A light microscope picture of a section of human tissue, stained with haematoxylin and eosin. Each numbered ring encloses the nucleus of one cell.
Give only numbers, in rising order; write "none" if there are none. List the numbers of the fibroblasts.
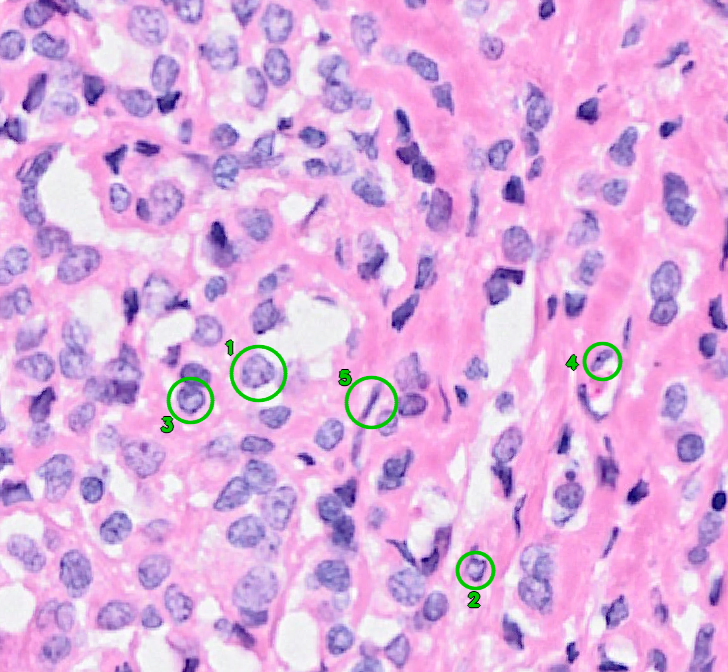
5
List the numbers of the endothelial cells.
2, 4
